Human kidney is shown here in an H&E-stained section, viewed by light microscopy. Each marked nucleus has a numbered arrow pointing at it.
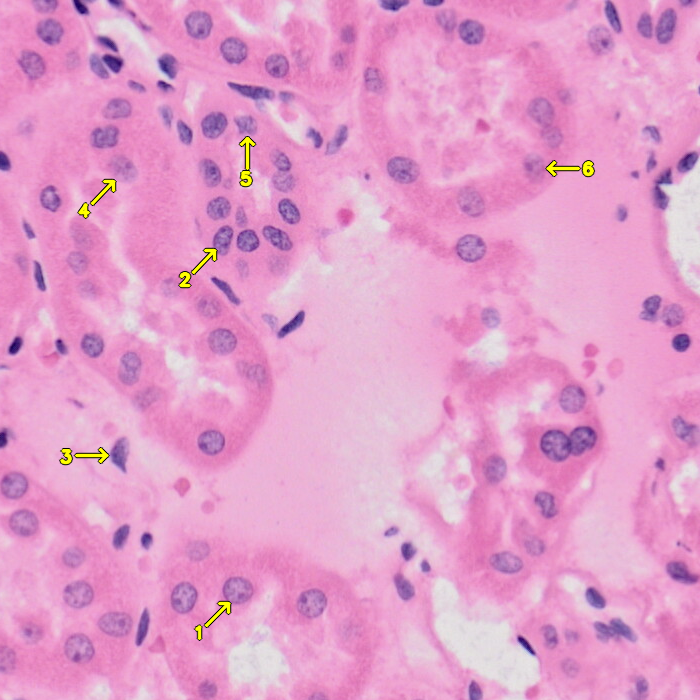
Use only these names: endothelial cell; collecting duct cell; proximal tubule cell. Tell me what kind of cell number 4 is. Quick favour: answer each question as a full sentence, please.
Identified as a proximal tubule cell is the cell bearing the number 4.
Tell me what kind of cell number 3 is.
The correct label for cell 3 is an endothelial cell.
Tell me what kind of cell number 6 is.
The cell to which the number 6 is assigned is a proximal tubule cell.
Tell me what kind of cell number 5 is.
The cell that goes by number 5 is a collecting duct cell.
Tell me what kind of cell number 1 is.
The nucleus with number 1 is that of a proximal tubule cell.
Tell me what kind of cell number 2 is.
Cell 2, as marked in the section, is a collecting duct cell.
